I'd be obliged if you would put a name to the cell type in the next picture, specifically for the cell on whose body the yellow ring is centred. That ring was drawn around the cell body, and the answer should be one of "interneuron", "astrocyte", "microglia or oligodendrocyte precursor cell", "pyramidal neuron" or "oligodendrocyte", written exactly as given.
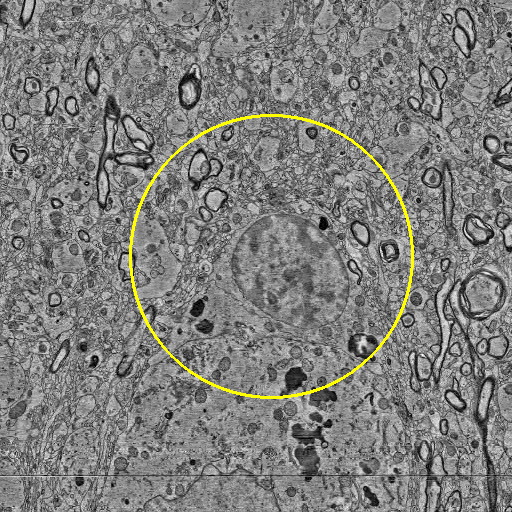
oligodendrocyte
